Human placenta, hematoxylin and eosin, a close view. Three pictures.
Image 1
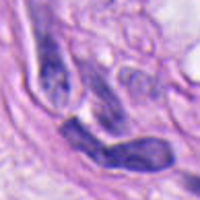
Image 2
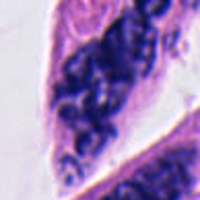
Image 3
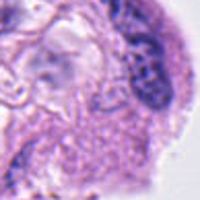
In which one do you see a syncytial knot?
In picture 2.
